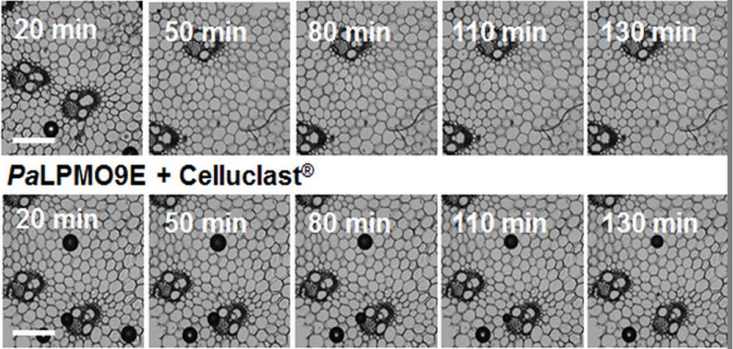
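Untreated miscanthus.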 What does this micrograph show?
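This time series of a plant stem section shows parenchyma of rounded-polygonal, thin-walled cells packed in a honeycomb arrangement. Darker clusters of smaller, thick-walled cells lie scattered among the parenchyma. The cell walls stay outlined in all frames, with no clear area of lost walls. Round dark bubbles are seen lying over the tissue.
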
